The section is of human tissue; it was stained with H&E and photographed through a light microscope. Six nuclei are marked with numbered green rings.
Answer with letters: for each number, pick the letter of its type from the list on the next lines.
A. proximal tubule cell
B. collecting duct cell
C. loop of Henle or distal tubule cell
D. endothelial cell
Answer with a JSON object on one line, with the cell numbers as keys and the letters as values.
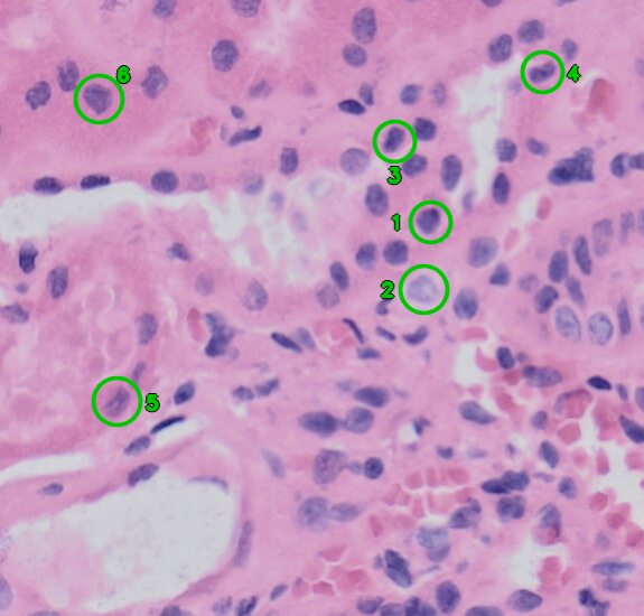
{"1": "C", "2": "C", "3": "C", "4": "C", "5": "A", "6": "A"}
